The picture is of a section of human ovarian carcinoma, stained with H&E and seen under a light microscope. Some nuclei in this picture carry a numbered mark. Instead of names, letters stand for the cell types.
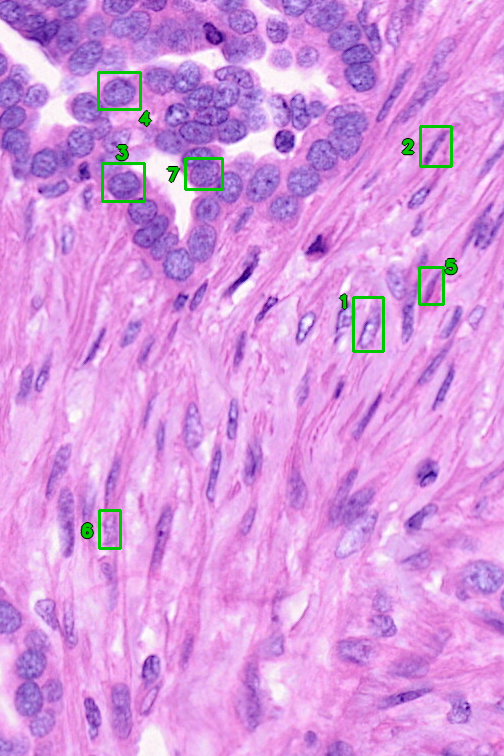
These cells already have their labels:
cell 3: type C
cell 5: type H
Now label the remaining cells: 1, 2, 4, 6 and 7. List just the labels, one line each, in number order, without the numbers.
type H
type H
type C
type H
type C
